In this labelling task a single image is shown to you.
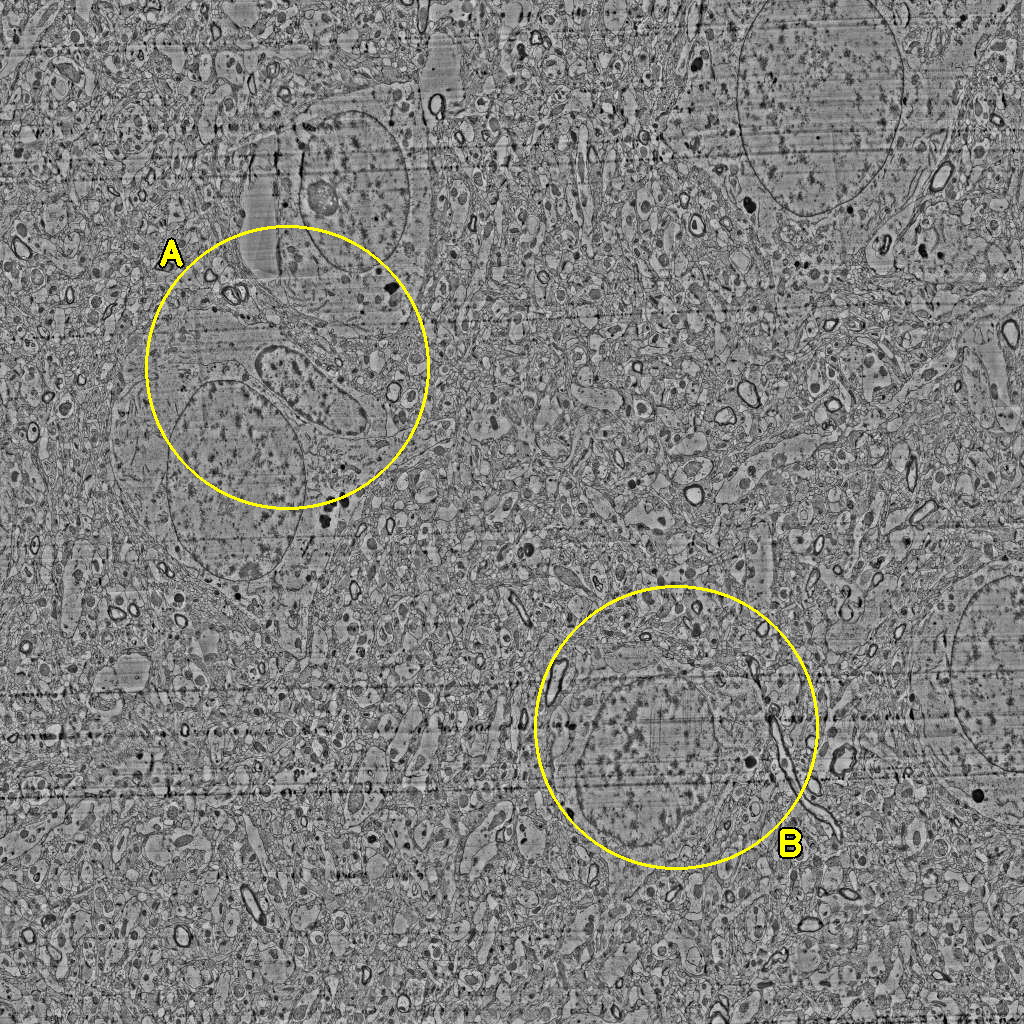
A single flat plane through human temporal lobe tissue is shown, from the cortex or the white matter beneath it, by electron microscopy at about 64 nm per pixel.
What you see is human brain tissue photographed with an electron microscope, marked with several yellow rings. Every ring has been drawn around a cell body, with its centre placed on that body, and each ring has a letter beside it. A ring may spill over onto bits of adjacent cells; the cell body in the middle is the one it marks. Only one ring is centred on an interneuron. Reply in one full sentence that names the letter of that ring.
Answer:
The ring centred on the cell asked for is the one marked B.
